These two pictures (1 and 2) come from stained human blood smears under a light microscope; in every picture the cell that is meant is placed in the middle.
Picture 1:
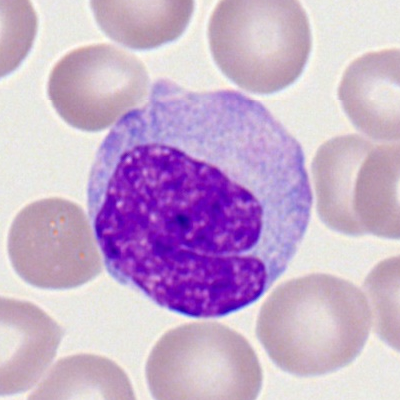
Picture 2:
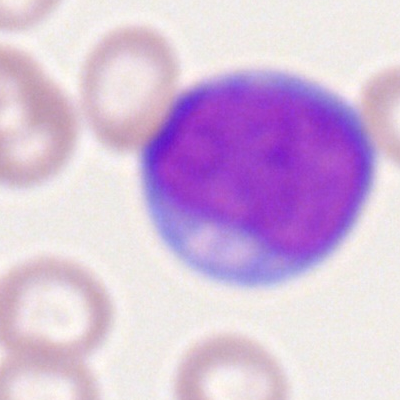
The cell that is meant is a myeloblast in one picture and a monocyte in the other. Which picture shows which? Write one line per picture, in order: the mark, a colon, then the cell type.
1: monocyte
2: myeloblast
